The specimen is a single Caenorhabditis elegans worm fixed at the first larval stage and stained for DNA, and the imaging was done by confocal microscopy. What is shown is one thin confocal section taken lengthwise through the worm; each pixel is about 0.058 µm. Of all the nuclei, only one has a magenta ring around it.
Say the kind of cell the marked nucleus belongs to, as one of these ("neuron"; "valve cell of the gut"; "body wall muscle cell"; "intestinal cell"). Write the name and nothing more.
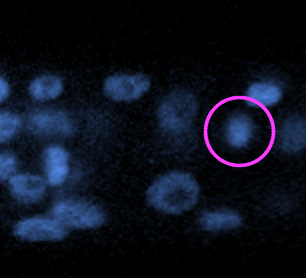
neuron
